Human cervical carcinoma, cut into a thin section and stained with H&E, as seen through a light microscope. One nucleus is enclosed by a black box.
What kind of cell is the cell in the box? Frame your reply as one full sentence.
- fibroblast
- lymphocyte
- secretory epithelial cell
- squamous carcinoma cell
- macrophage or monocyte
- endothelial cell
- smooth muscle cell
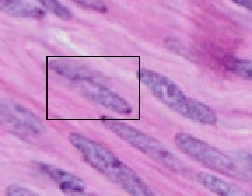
Microscopically, the cell in the box is categorized as a smooth muscle cell.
